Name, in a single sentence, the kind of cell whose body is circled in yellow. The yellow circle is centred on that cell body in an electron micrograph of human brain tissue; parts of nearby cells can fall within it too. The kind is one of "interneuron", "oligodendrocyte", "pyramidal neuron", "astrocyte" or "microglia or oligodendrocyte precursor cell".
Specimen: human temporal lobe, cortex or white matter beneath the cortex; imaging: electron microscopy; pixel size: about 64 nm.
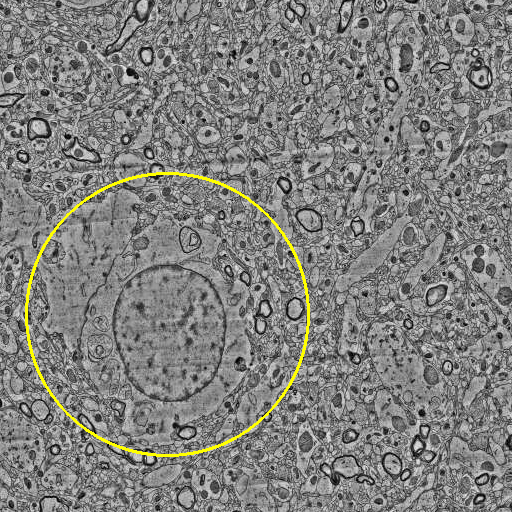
The circled cell body belongs to an astrocyte.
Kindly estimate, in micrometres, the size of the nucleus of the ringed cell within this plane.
Approximately 9 x 7 micrometres in this plane.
